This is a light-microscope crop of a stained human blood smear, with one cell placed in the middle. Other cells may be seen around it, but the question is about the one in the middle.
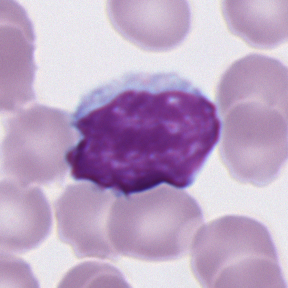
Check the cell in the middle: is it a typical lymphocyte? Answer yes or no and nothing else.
yes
